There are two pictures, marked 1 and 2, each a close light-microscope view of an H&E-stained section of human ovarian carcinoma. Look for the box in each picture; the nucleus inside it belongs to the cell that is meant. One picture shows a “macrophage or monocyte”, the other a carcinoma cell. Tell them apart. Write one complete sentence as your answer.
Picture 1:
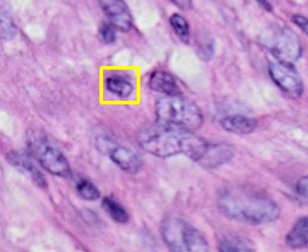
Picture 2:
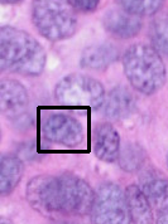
It is picture 1 that shows a “macrophage or monocyte”, and picture 2 that shows a carcinoma cell.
